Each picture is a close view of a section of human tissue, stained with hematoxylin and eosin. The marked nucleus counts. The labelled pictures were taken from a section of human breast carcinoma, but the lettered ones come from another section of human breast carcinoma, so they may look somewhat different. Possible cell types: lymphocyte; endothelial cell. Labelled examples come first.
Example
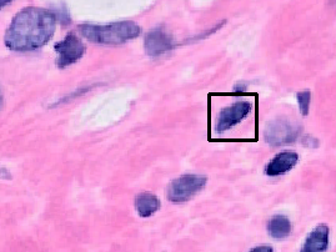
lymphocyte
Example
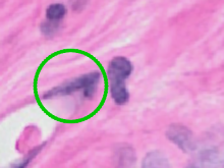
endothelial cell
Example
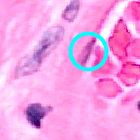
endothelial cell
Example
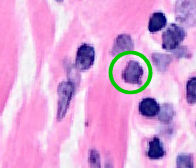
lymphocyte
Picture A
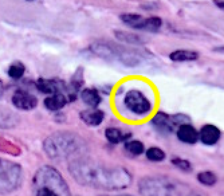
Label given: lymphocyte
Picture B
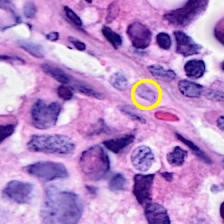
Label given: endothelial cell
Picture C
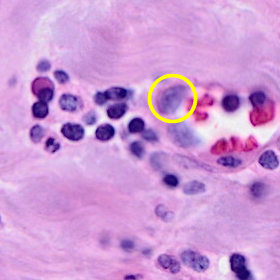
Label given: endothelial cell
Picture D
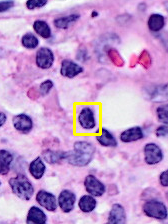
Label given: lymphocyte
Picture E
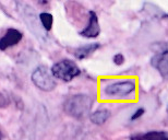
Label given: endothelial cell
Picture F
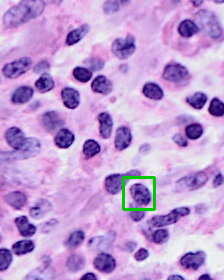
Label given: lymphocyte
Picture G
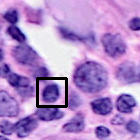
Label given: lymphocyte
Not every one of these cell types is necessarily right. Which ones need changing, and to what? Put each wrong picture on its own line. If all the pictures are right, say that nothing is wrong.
Nothing to fix; every label fits.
